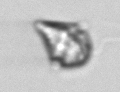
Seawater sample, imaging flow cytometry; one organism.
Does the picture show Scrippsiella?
Yes.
